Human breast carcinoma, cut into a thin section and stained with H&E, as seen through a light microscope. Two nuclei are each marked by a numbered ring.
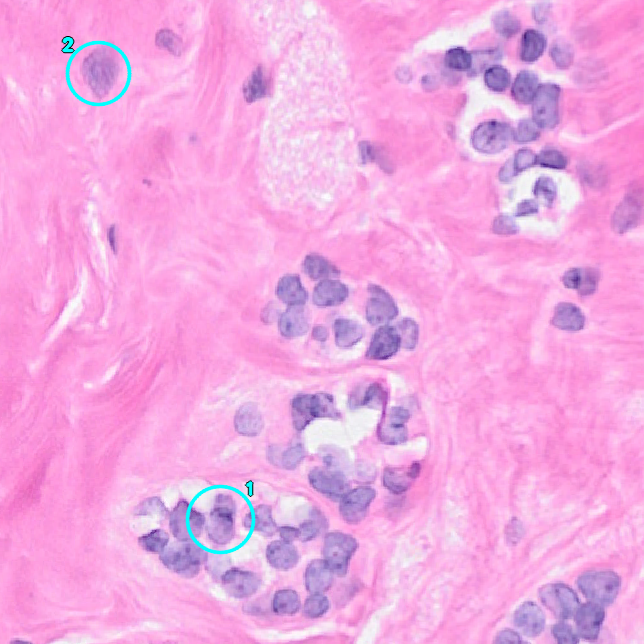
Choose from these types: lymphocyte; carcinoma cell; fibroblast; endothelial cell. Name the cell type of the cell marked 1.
carcinoma cell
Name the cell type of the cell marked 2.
fibroblast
